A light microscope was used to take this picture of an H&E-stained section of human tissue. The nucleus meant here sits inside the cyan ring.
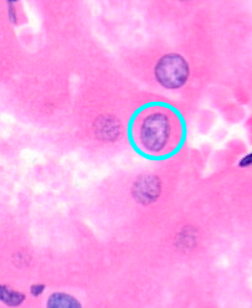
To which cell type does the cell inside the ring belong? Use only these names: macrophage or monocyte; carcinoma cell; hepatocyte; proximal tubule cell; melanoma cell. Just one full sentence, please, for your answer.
Histopathologically, the cell inside the ring is a proximal tubule cell.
